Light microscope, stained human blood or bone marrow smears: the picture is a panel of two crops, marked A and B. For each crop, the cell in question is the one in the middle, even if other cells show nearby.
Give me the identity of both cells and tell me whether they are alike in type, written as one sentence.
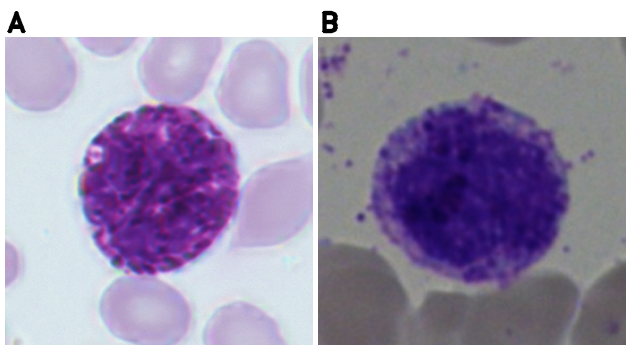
Yes, both crops depict basophils at the centre.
